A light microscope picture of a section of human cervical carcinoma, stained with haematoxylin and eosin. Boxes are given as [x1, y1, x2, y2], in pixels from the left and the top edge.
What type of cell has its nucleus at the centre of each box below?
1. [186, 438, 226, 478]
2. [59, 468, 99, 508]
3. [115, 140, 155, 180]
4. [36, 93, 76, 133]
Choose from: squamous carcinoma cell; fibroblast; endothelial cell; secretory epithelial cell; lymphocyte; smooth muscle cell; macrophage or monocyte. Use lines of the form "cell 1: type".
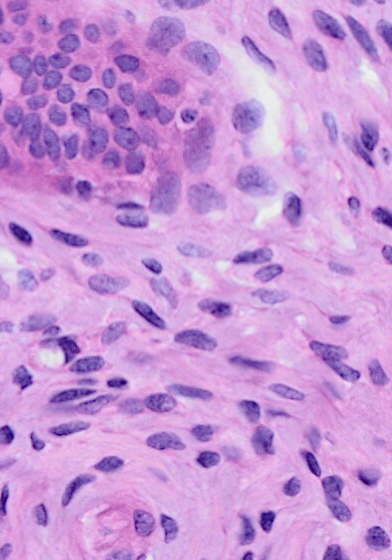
cell 1: fibroblast
cell 2: fibroblast
cell 3: secretory epithelial cell
cell 4: secretory epithelial cell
